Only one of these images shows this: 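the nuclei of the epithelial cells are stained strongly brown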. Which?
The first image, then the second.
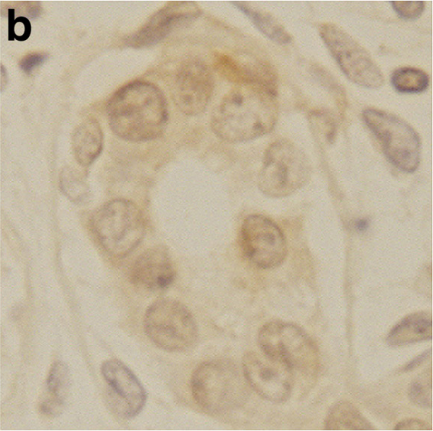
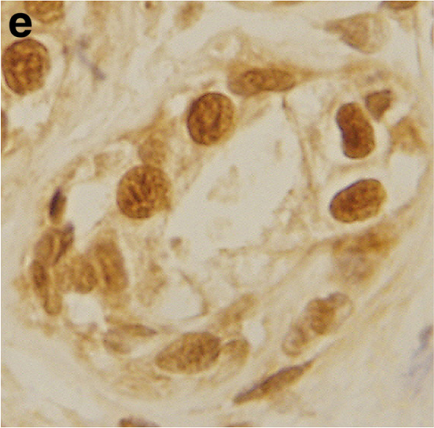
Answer: The second image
